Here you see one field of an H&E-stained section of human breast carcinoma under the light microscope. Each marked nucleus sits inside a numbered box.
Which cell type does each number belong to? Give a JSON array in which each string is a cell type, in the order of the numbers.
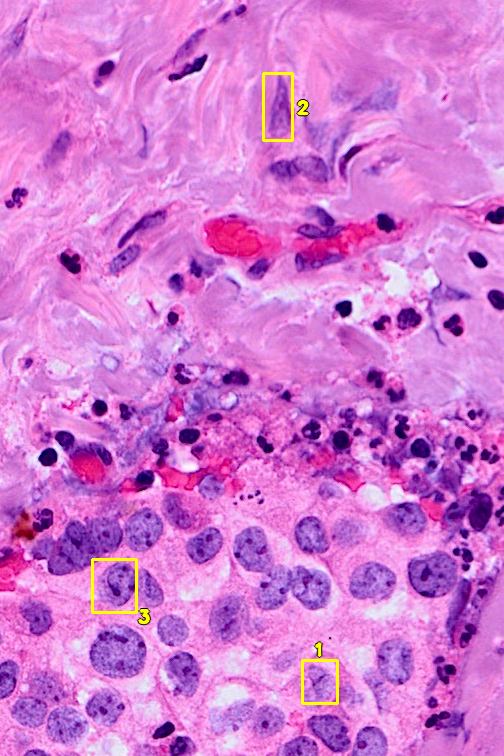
["carcinoma cell", "fibroblast", "carcinoma cell"]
